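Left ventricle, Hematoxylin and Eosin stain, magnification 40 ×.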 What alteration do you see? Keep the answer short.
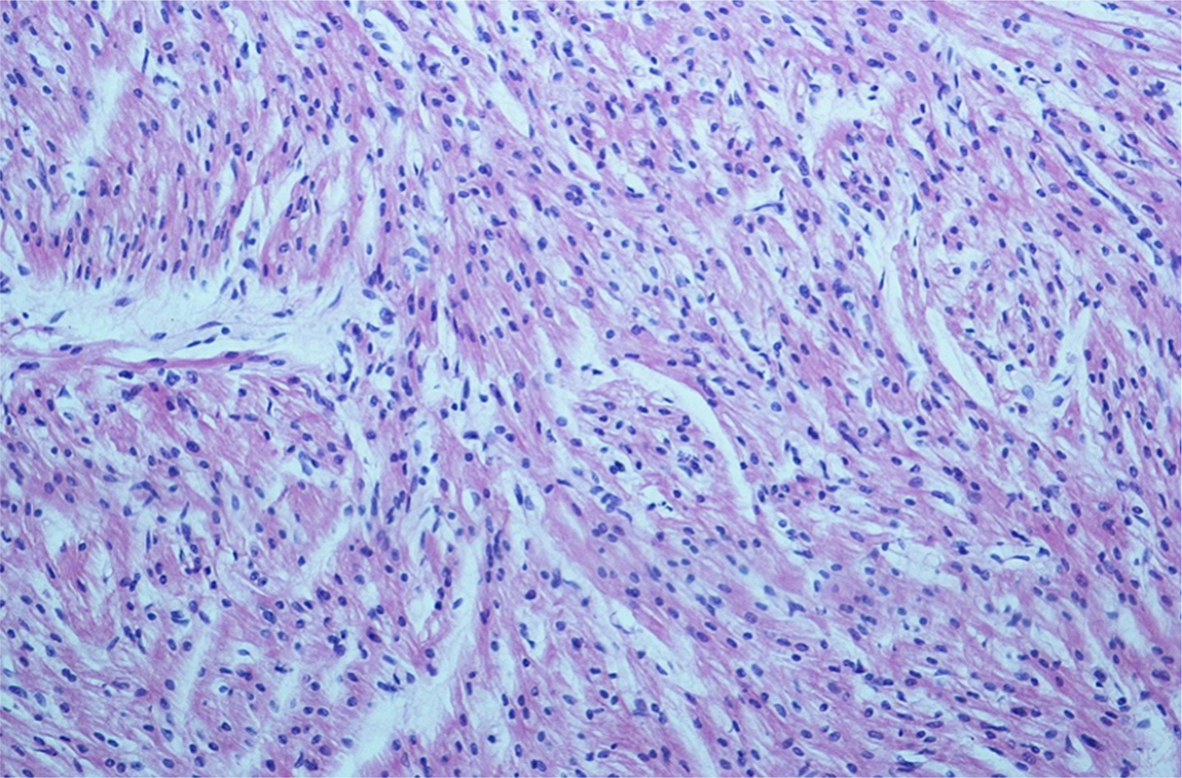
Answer: Disarray.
